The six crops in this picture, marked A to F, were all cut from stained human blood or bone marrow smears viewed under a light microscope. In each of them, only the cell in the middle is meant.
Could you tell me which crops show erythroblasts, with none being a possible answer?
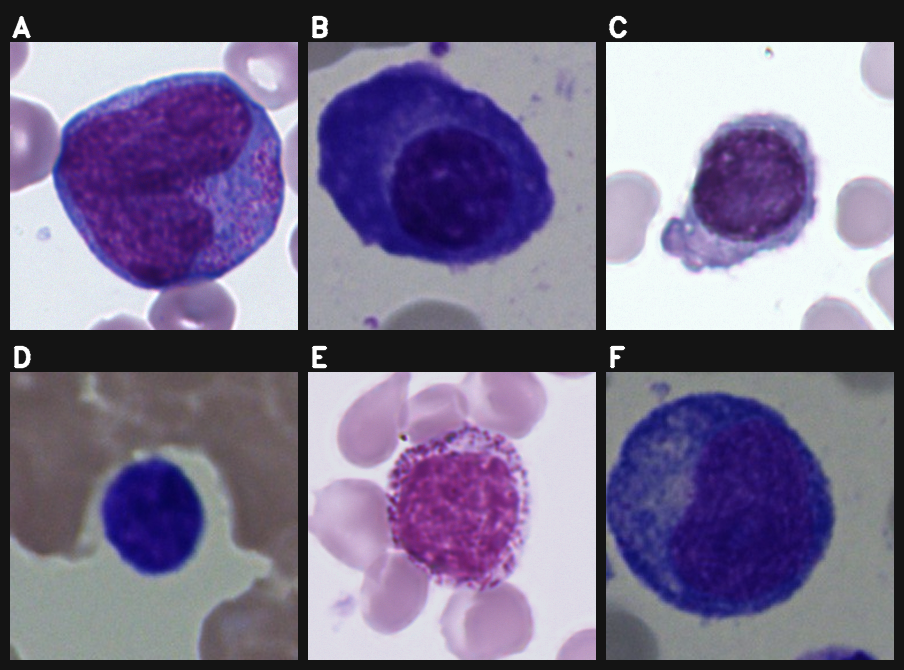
none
